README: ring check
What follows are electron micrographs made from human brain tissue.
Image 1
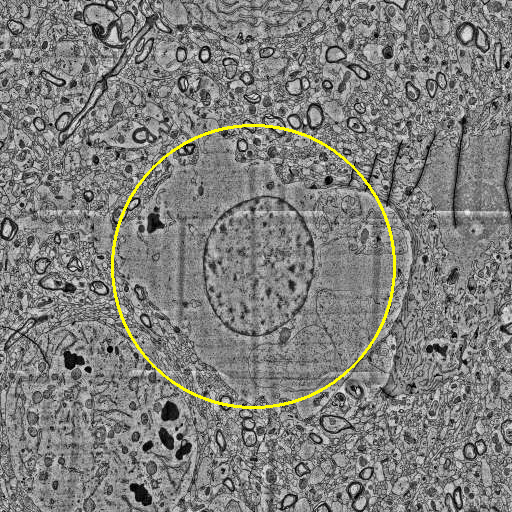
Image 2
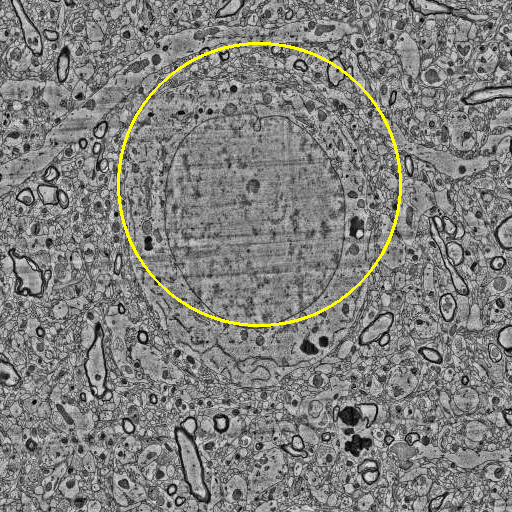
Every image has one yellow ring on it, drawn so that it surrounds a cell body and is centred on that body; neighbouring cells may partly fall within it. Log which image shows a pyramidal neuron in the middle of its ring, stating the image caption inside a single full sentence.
Image 2 is where the cell at the ring's centre matches the one asked for.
